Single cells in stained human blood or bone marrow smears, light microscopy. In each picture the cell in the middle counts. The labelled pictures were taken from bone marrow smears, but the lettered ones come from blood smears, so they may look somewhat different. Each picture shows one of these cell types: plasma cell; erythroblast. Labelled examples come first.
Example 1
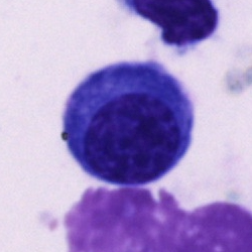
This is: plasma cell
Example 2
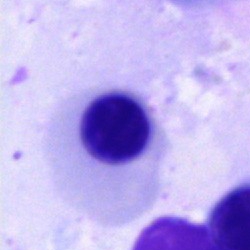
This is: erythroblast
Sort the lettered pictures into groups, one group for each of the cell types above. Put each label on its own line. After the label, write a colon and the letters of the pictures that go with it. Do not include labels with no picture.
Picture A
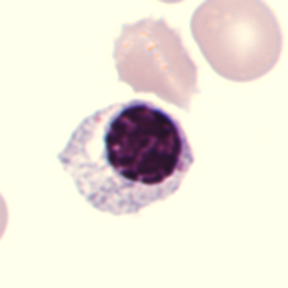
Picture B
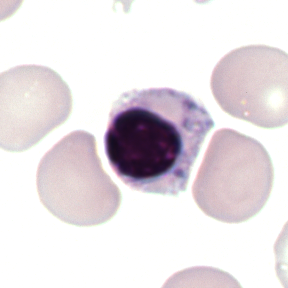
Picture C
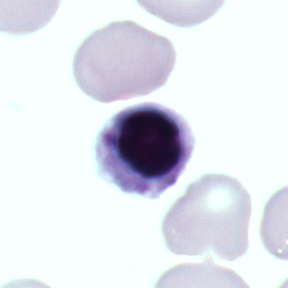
erythroblast: A, B, C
